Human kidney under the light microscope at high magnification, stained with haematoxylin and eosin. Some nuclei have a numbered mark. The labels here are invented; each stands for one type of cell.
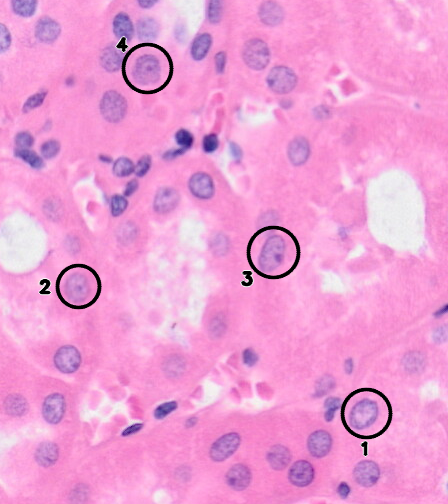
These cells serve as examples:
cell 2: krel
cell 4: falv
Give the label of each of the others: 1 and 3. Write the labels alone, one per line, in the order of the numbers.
krel
krel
